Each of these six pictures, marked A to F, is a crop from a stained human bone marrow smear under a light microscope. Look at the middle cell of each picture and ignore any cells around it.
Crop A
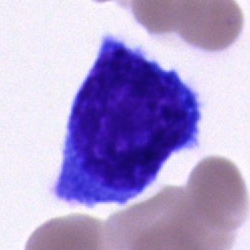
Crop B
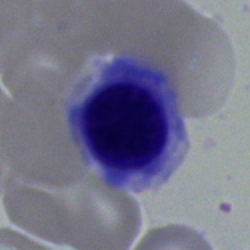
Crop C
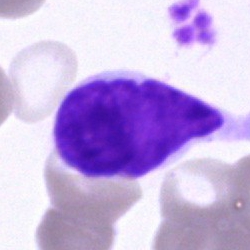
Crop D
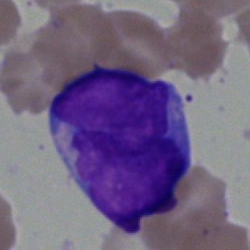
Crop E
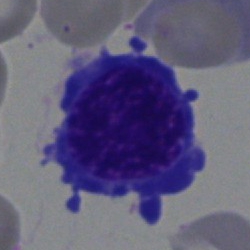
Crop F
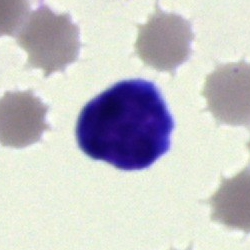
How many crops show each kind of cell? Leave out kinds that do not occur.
blast: 2
normoblast: 2
lymphocyte: 2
